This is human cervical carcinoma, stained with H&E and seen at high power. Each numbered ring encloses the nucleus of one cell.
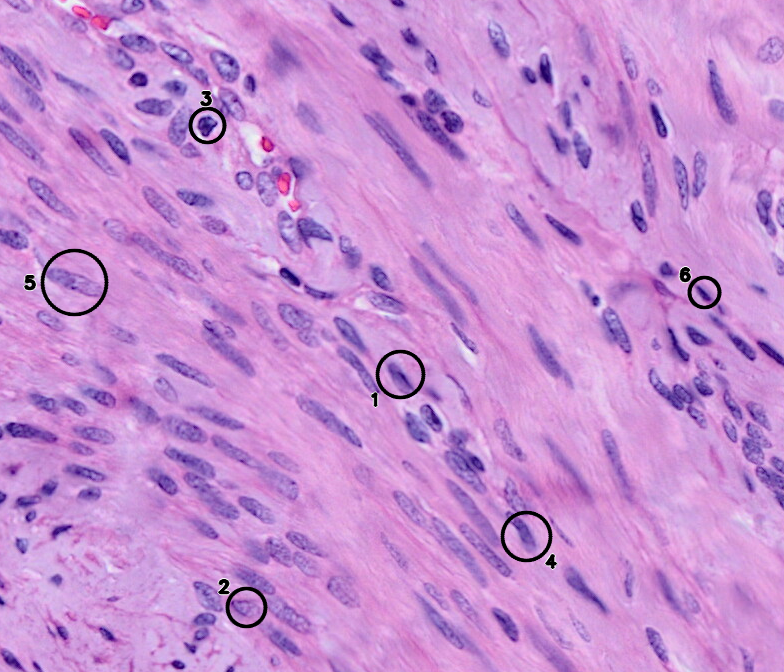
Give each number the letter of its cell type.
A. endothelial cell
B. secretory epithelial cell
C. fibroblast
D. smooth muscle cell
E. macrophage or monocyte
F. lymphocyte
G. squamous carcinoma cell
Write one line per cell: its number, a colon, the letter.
1: C
2: D
3: F
4: C
5: D
6: C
